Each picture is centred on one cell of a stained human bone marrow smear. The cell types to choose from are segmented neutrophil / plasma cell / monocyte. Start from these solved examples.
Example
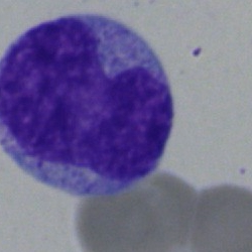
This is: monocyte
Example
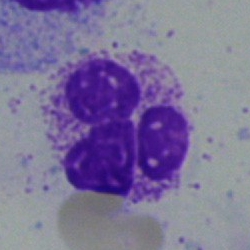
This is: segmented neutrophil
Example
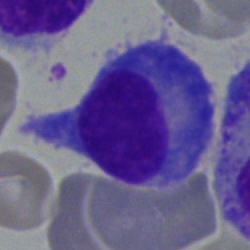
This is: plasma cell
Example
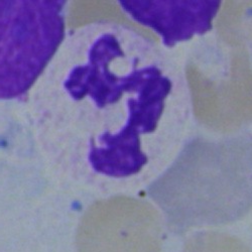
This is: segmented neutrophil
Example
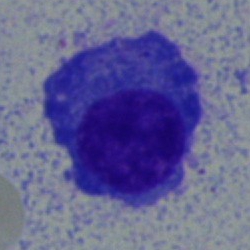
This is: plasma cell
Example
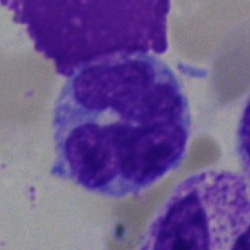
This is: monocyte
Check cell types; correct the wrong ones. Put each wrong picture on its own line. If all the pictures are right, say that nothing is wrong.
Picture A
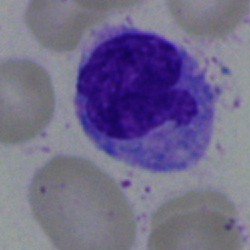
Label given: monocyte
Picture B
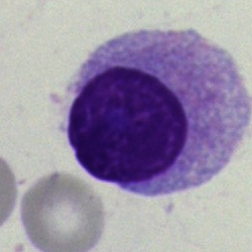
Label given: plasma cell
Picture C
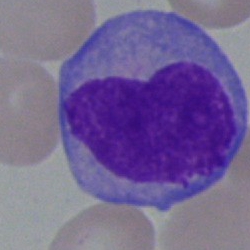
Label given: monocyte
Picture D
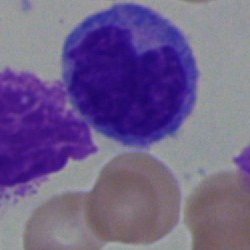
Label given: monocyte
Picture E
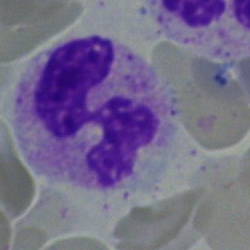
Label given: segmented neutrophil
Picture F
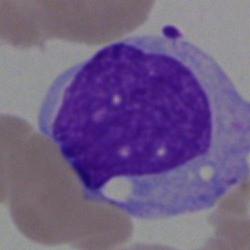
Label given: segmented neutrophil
F is labelled segmented neutrophil; correct label: monocyte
